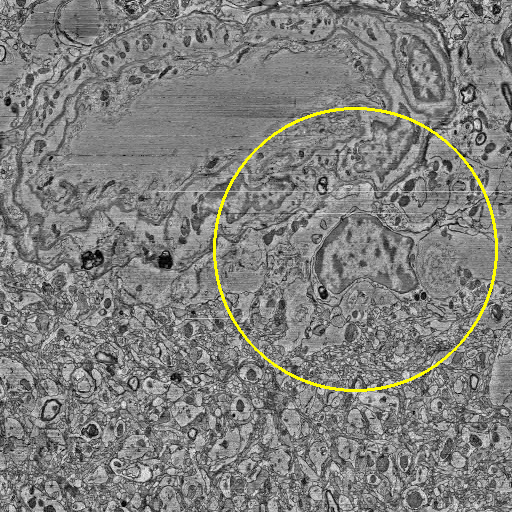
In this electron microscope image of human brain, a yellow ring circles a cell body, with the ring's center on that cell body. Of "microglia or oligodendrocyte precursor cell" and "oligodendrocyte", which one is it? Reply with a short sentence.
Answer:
It is a microglial cell or oligodendrocyte precursor cell at the center of the ring.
